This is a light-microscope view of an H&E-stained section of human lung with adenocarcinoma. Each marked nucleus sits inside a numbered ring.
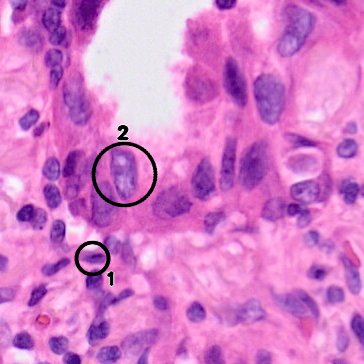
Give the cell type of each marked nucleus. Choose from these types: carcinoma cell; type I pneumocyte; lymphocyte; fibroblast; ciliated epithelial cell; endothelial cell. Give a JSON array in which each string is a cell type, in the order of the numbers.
["lymphocyte", "carcinoma cell"]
